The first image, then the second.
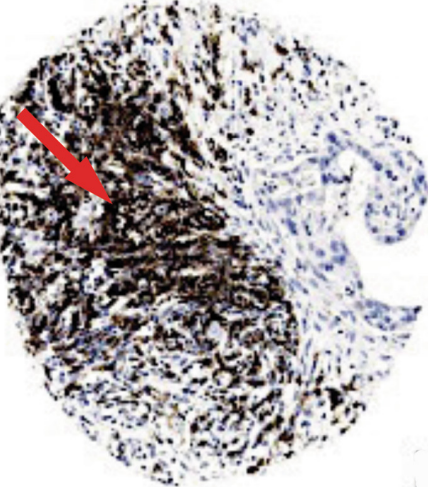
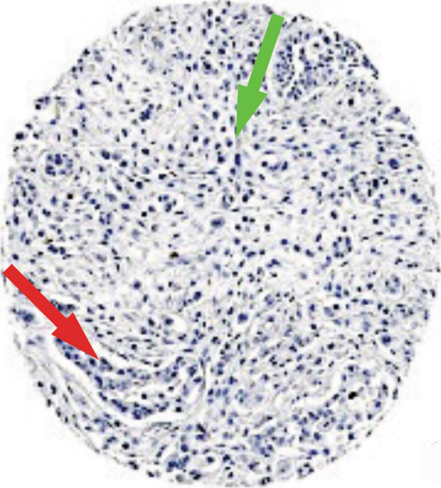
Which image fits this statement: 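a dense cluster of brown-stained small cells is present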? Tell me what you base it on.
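First image: a large dense region of dark-brown stained cells fills much of the core. On this evidence: the first image.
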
